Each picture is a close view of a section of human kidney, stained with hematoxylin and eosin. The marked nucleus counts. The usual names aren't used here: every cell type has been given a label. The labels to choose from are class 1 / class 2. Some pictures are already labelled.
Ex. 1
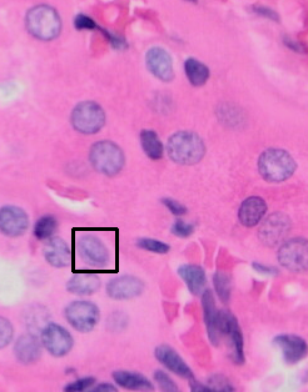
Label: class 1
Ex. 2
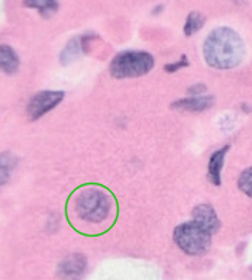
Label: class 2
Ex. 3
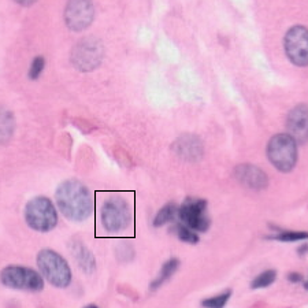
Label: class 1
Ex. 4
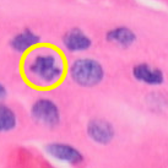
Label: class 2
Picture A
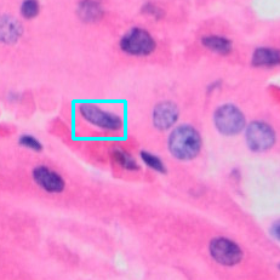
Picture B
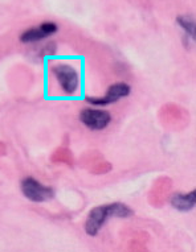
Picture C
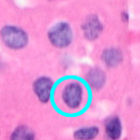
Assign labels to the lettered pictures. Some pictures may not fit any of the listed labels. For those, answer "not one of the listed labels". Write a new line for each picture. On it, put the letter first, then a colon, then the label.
A: not one of the listed labels
B: not one of the listed labels
C: class 2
